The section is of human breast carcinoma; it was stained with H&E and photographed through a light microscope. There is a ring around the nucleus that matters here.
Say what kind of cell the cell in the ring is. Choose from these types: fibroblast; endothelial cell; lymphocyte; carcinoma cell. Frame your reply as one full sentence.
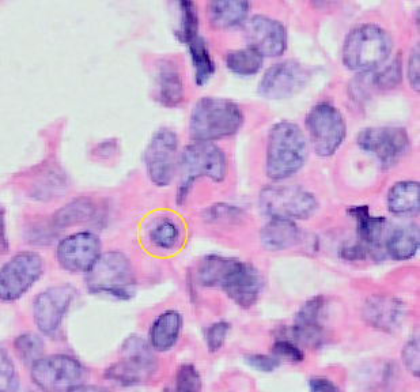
In terms of identity, the cell in the ring is an endothelial cell.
